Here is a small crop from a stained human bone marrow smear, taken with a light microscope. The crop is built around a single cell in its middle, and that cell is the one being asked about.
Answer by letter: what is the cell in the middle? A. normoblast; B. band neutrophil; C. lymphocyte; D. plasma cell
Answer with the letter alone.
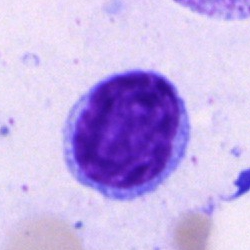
C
